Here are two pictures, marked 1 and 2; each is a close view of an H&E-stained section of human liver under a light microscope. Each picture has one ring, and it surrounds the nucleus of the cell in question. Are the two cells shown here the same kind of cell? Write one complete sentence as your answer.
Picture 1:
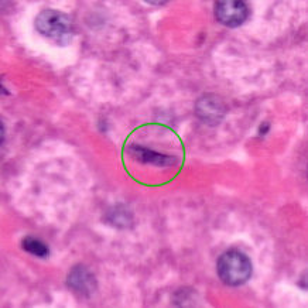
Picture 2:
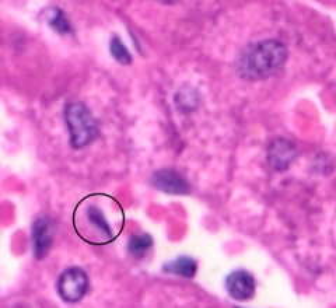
No; the cell in picture 1 is a Kupffer cell, while the one in picture 2 is an endothelial cell.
